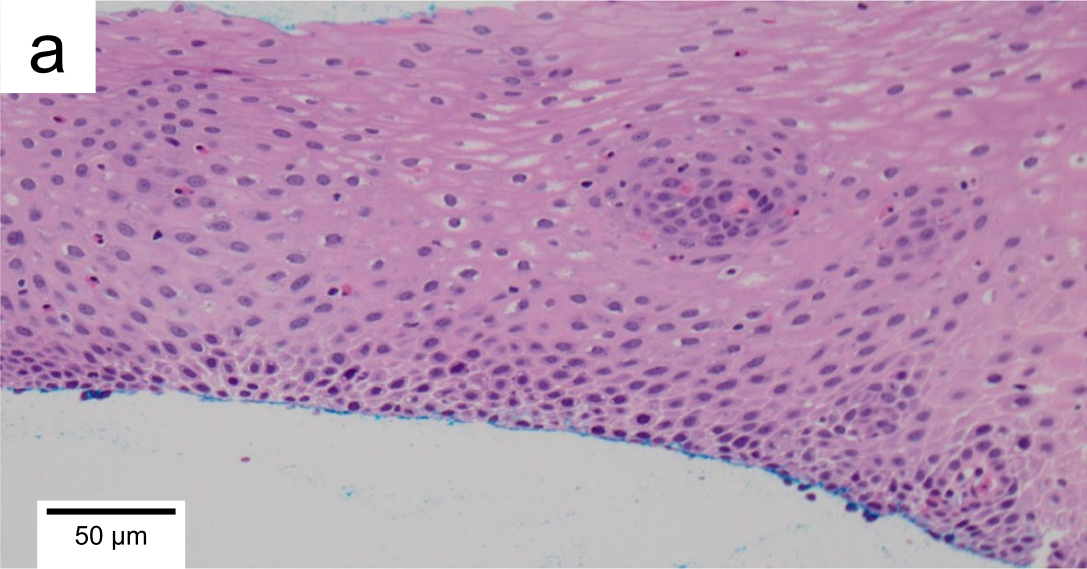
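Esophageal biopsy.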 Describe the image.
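Stratified squamous epithelium of the esophagus, with a crowded basal zone of small dark-nucleated cells and upper layers of larger pink cells with round to oval nuclei that flatten toward the surface. Numerous small cells with bright red granular cytoplasm are scattered among the epithelial cells, forming an eosinophilic infiltrate, and pale spaces between cells are seen in places.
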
